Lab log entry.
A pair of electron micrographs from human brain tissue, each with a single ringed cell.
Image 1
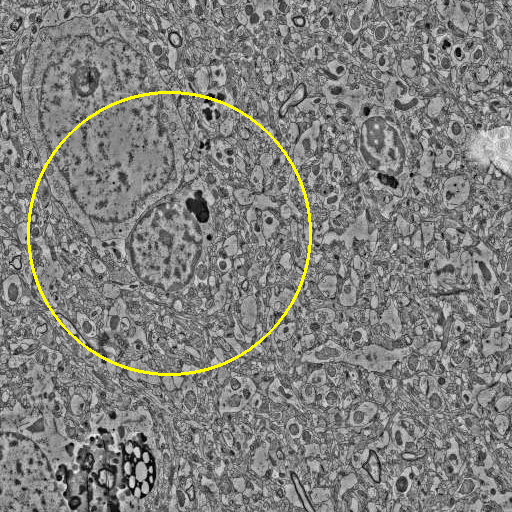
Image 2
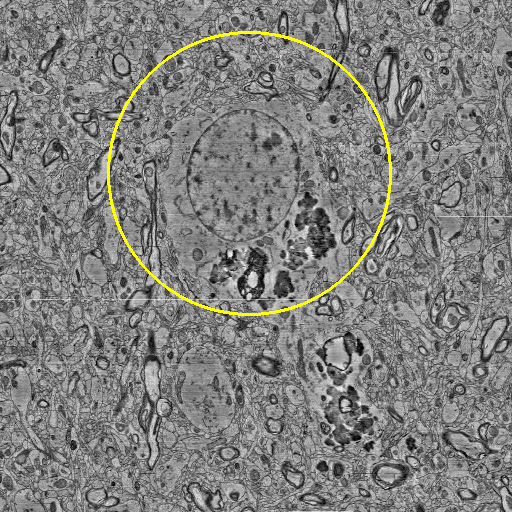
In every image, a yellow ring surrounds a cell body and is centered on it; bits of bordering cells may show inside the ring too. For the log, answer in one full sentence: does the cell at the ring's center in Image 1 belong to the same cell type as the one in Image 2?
No, the cells at the ring centers in Image 1 and Image 2 are of separate types.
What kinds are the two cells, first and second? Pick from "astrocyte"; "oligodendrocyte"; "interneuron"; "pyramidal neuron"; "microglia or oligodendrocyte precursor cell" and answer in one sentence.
The second picture holds an astrocyte in its ring, and the first holds an oligodendrocyte.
